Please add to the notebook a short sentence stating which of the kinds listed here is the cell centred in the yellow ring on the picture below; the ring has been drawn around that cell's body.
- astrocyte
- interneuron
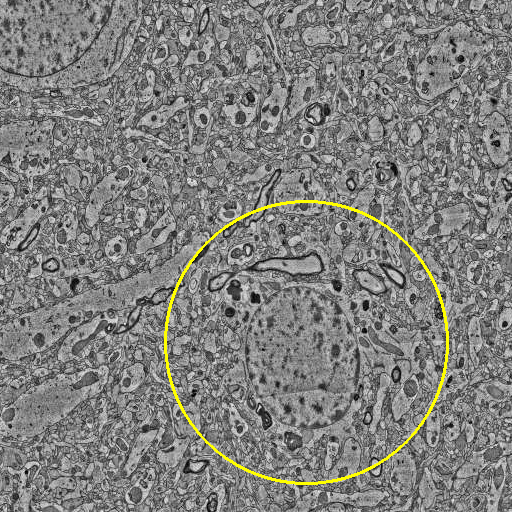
The cell centred in the yellow ring is an astrocyte.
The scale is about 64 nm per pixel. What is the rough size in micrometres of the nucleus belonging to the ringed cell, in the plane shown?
Approximately 9 by 7 micrometers in this plane.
